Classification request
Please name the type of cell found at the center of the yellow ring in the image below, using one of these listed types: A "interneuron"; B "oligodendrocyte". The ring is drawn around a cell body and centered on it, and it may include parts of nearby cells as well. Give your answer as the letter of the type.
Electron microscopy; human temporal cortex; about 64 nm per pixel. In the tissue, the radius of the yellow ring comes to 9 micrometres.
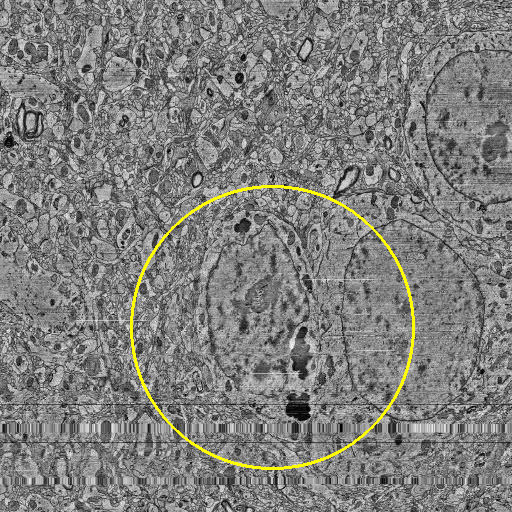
A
